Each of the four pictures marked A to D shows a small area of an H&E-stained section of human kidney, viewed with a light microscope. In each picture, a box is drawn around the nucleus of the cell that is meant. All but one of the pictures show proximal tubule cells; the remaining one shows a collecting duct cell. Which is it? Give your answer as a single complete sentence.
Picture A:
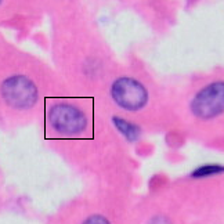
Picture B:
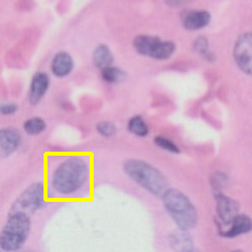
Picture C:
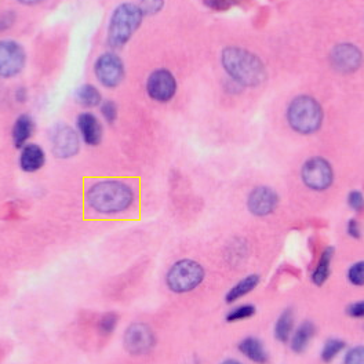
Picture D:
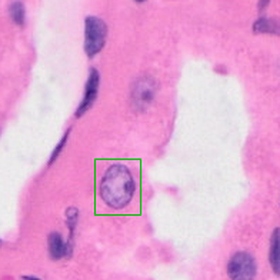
Picture B is the one that shows the collecting duct cell.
